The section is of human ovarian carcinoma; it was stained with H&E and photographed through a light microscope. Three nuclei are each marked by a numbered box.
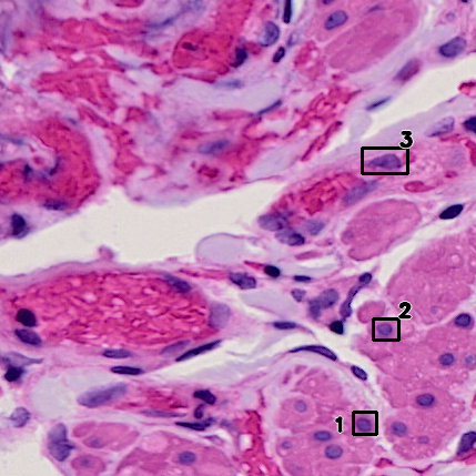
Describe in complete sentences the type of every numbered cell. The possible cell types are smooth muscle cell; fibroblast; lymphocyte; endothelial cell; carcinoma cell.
Cell 1 is a smooth muscle cell, cell 2 is a smooth muscle cell and cell 3 is an endothelial cell.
